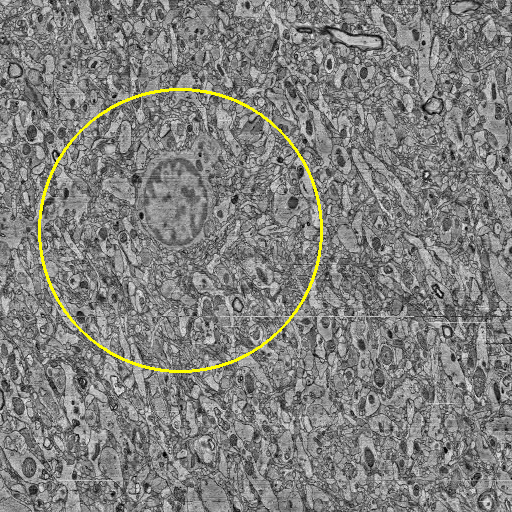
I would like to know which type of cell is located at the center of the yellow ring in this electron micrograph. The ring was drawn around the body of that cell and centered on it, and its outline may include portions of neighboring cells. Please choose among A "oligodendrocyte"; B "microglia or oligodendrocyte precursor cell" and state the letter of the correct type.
A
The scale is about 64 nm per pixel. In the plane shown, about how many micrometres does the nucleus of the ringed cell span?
About 6 micrometres by about 4 micrometres in this plane.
